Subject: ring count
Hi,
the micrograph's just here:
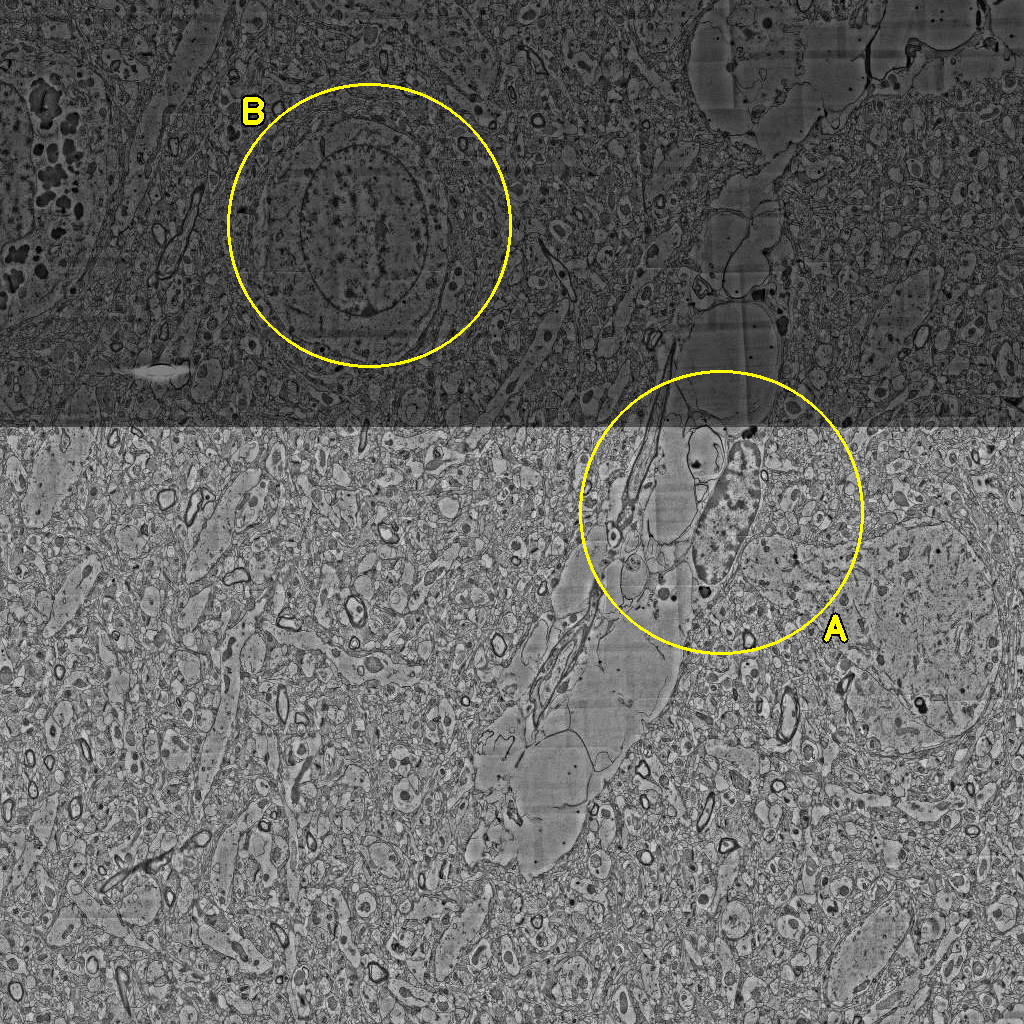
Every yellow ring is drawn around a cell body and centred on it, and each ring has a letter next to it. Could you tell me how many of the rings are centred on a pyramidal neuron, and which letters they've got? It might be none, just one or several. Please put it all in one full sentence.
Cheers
Only one ring has a pyramidal neuron at its centre, the ring with the letter B.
